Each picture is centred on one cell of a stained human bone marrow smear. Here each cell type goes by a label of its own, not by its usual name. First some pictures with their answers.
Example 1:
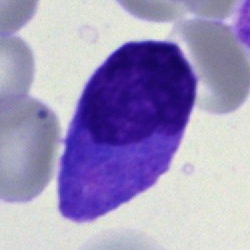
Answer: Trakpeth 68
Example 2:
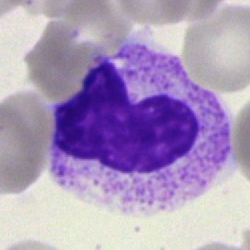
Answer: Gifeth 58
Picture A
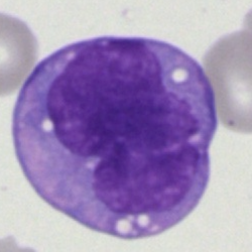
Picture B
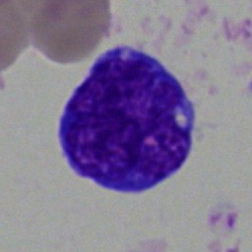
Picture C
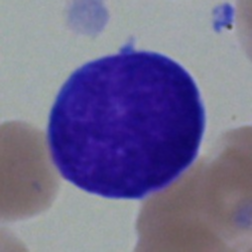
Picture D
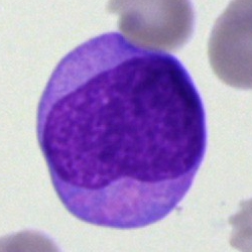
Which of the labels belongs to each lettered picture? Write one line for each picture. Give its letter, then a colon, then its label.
A: Trakpeth 68
B: Trakpeth 68
C: Trakpeth 68
D: Trakpeth 68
